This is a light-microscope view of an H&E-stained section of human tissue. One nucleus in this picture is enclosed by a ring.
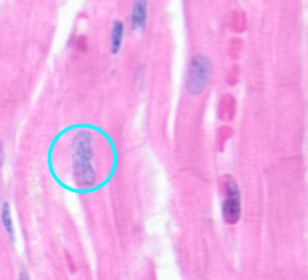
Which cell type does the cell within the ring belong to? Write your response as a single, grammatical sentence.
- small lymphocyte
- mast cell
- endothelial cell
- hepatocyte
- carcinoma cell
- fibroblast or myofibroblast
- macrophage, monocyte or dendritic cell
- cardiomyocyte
With respect to cell type, the cell within the ring is a cardiomyocyte.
